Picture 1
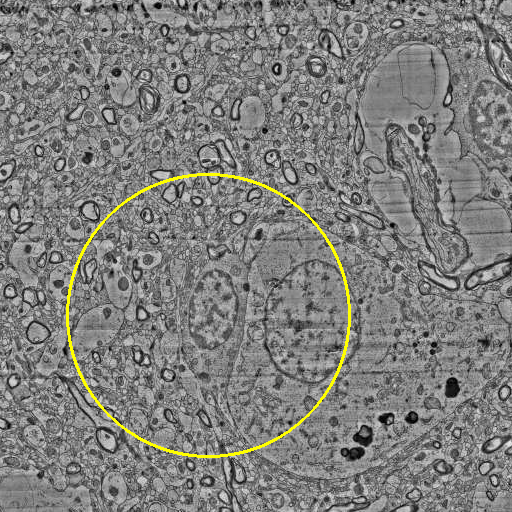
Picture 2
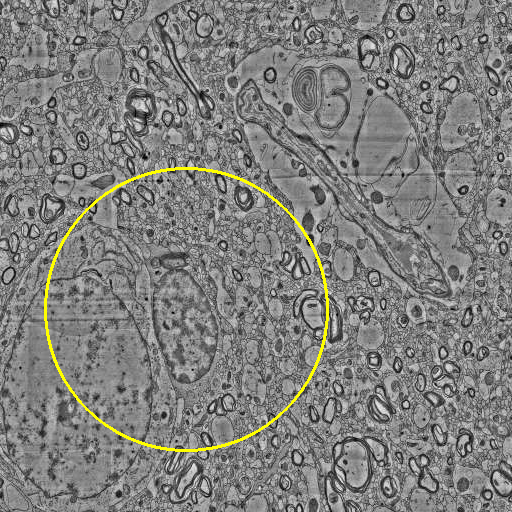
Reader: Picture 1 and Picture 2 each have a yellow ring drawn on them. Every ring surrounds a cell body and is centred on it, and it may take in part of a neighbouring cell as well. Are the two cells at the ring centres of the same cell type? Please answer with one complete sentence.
Yes, both cells are of the same cell type.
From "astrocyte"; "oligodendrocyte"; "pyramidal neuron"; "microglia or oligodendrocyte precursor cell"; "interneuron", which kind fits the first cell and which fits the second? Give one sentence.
The cell in the first picture is an oligodendrocyte, and so is the one in the second.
